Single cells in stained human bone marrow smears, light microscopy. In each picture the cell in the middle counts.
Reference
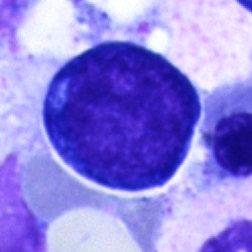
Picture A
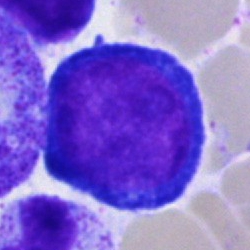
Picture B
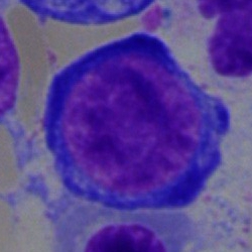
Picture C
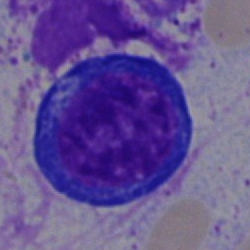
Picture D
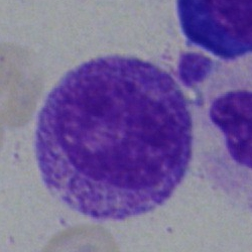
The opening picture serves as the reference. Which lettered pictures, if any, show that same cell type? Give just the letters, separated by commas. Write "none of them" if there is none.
A, B, C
